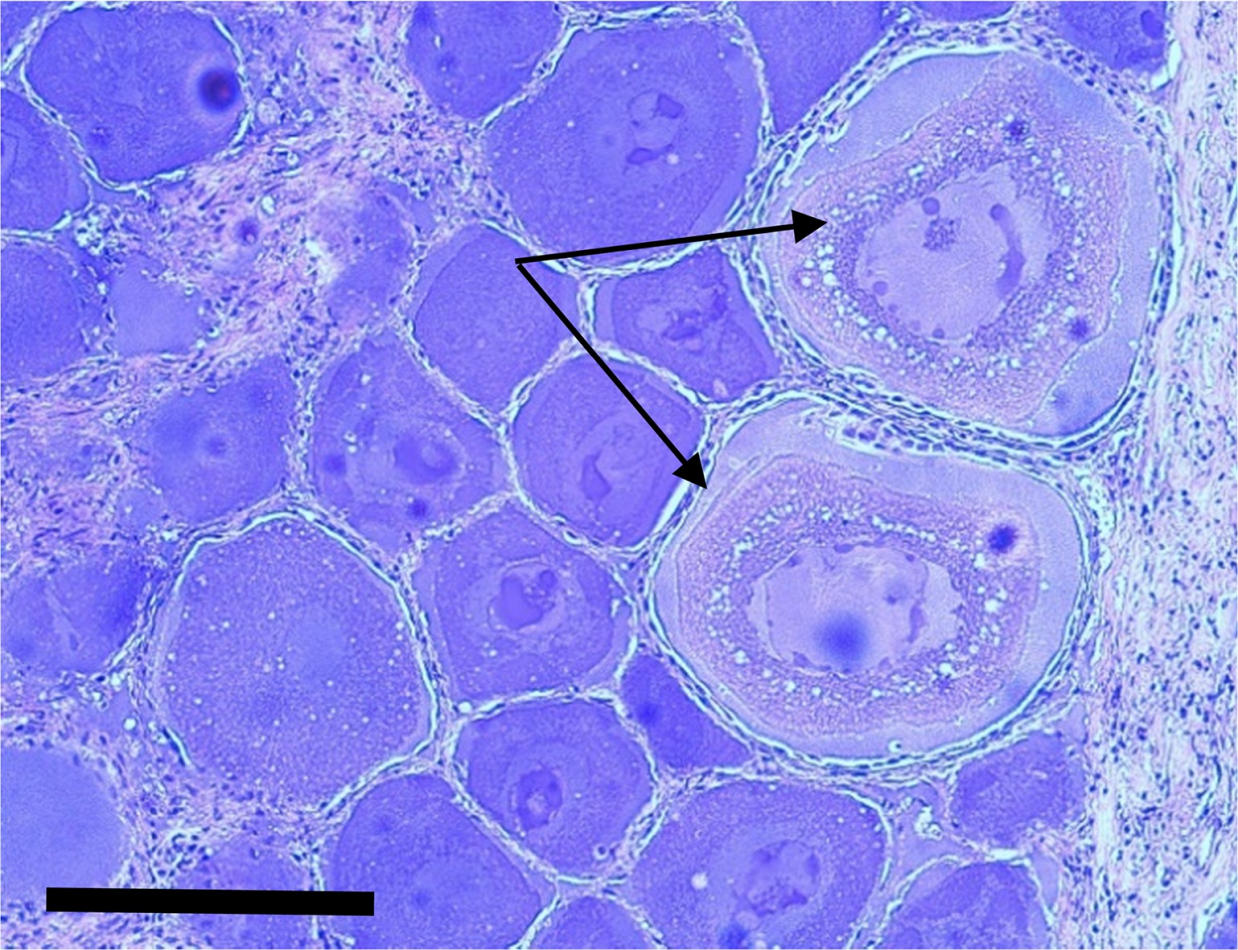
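This ovarian section shows many closely packed oocytes, each enclosed by a thin layer of flattened follicle cells and separated by loose, pale pink stroma. Two larger oocytes stand out: they have paler, finely granular cytoplasm holding a ring of small clear vesicles around the nucleus, and a smooth outer band beneath the follicle layer.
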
